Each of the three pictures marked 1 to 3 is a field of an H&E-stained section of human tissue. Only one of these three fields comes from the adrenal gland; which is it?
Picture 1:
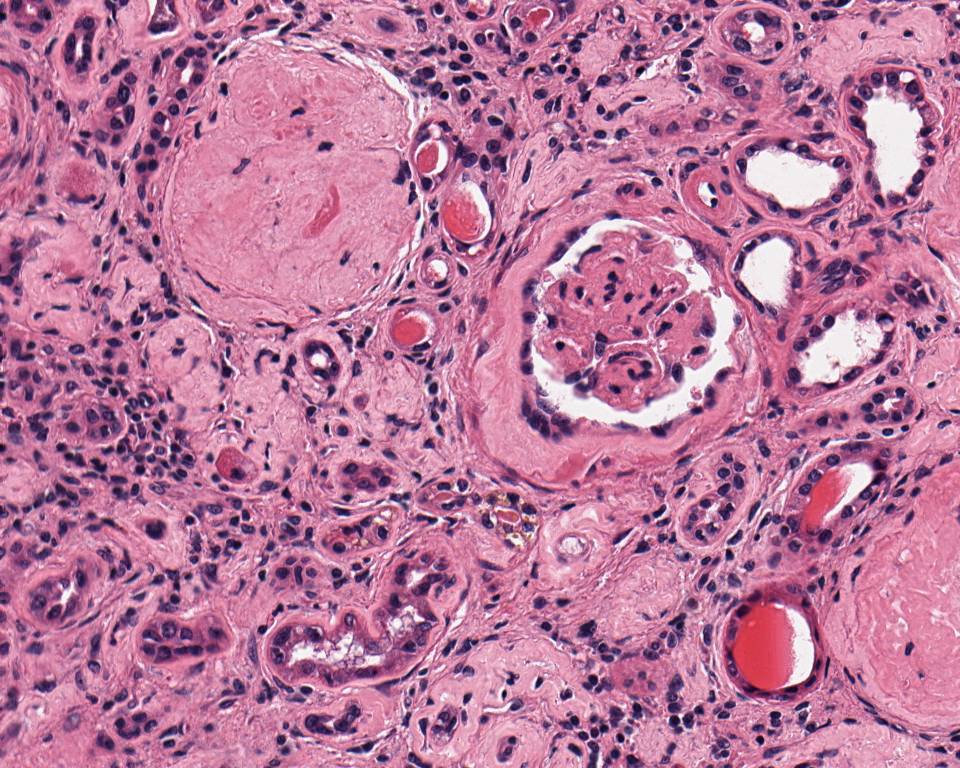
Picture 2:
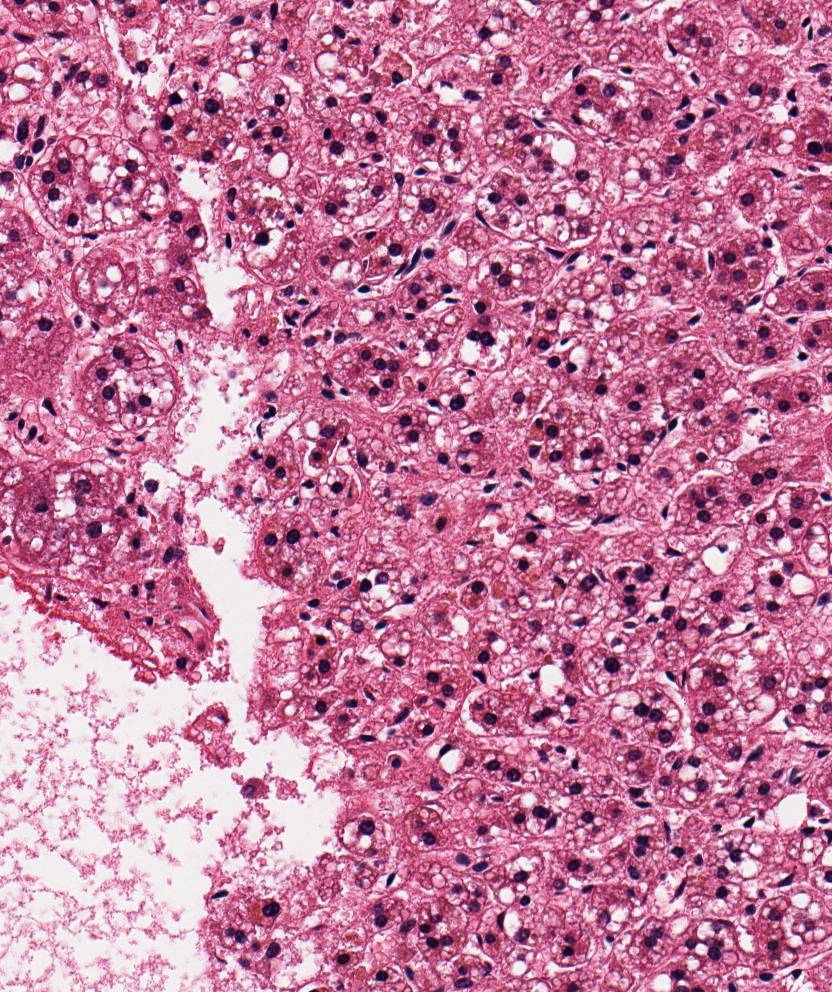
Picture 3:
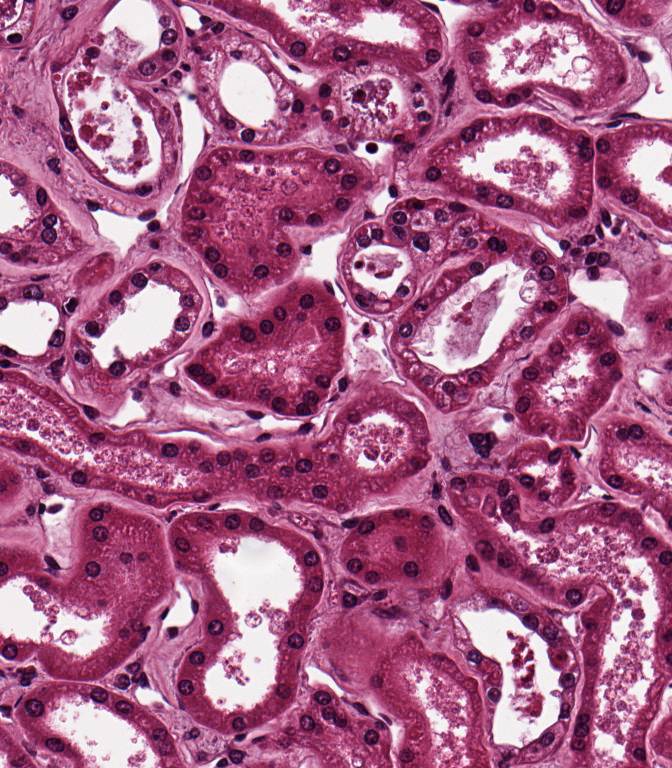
2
